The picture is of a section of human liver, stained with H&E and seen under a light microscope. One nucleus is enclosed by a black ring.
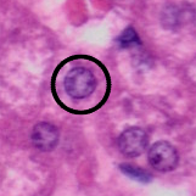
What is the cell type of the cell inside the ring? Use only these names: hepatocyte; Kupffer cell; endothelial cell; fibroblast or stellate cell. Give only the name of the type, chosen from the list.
hepatocyte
